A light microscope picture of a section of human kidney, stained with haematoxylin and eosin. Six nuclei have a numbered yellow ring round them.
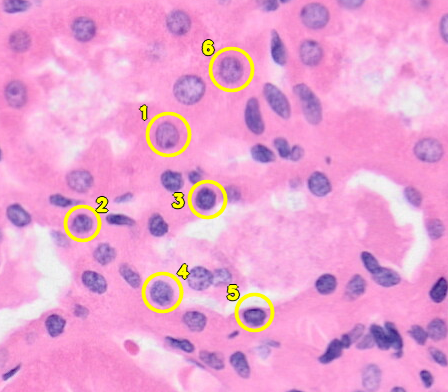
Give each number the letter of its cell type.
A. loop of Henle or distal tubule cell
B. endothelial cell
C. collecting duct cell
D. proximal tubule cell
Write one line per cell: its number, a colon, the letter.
1: D
2: A
3: A
4: A
5: A
6: D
